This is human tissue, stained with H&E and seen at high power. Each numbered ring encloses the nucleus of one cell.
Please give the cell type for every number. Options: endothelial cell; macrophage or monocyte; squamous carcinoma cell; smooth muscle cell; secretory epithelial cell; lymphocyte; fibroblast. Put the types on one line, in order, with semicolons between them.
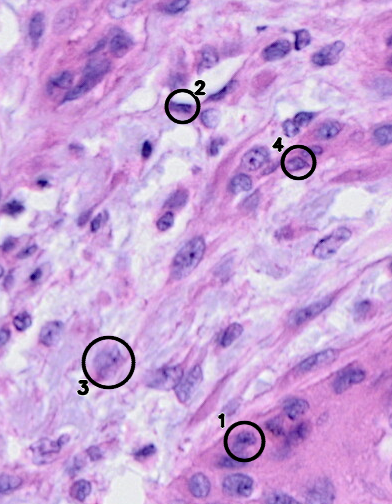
squamous carcinoma cell; endothelial cell; fibroblast; endothelial cell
